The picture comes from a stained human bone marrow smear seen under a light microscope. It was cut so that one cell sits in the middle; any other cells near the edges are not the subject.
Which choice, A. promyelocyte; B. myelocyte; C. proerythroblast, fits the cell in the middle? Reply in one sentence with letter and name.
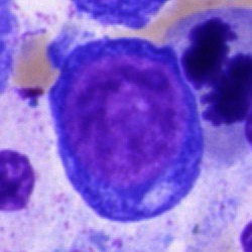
The correct option here is C; the middle cell is a proerythroblast.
